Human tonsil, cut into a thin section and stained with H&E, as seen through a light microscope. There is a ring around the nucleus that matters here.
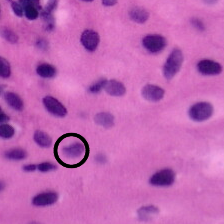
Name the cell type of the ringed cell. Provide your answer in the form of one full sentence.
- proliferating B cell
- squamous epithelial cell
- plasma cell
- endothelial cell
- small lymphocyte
To be brief about it, the ringed cell is a squamous epithelial cell.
